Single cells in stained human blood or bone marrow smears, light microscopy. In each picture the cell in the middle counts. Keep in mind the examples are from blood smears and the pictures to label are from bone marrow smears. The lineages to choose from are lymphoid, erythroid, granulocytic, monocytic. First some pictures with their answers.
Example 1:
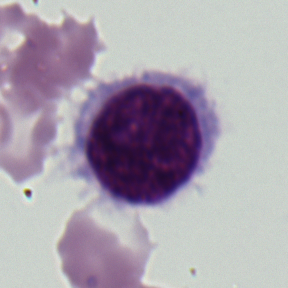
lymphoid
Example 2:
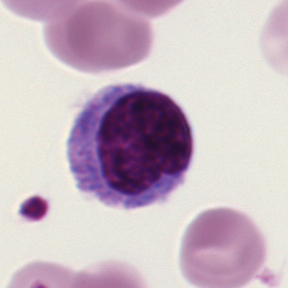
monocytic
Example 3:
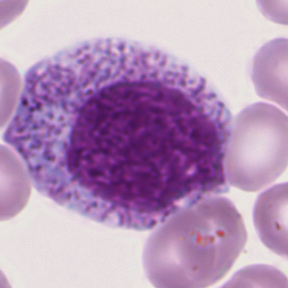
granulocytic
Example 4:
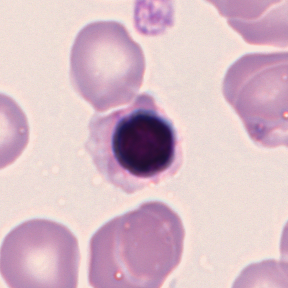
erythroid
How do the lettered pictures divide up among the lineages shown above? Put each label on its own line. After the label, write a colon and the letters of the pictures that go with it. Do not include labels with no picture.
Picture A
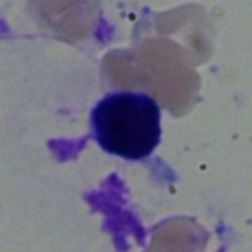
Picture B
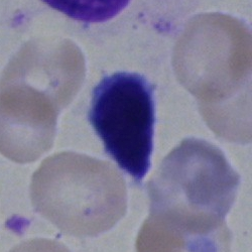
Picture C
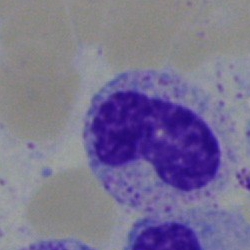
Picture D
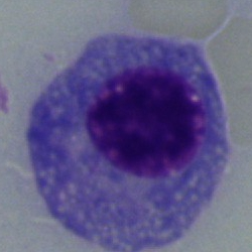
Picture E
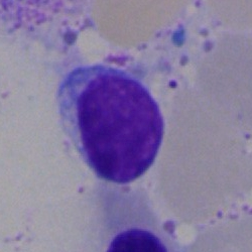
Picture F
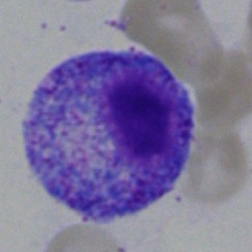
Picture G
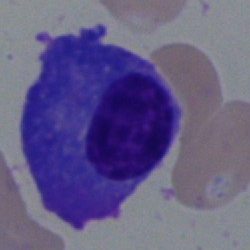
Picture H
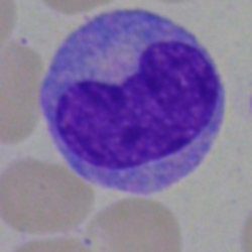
lymphoid: A, B, D, E, G
granulocytic: C, F
monocytic: H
